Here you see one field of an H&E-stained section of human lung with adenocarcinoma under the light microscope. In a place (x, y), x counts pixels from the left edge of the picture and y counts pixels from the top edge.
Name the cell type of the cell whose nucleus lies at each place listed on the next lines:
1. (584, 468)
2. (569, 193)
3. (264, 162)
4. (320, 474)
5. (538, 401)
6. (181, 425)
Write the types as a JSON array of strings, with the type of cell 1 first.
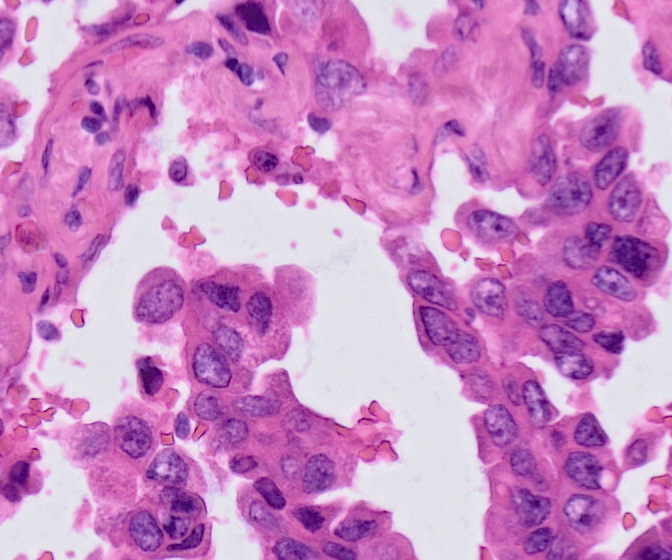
["carcinoma cell", "carcinoma cell", "macrophage or monocyte", "carcinoma cell", "carcinoma cell", "lymphocyte"]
